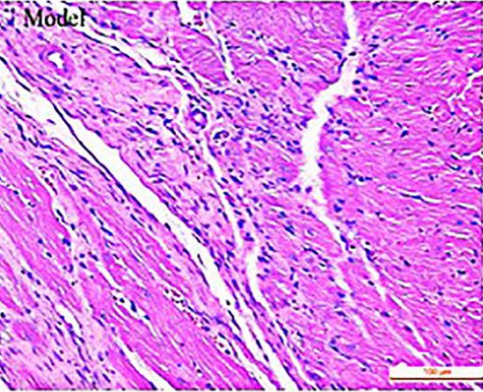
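The pink muscle fibres run obliquely but are paler and less orderly than normal, separated by white clefts and widened interstitial spaces. Between the fibres lie numerous small, elongated, dark blue nuclei of spindle-shaped interstitial cells, more crowded than in normal myocardium. Small vessels are visible within the loosened interstitium. The overall architecture is disrupted, with the regular parallel alignment of muscle fibres partly lost.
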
